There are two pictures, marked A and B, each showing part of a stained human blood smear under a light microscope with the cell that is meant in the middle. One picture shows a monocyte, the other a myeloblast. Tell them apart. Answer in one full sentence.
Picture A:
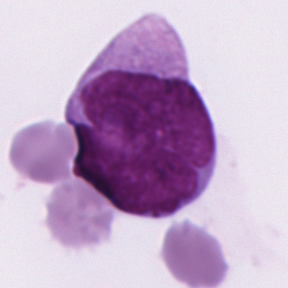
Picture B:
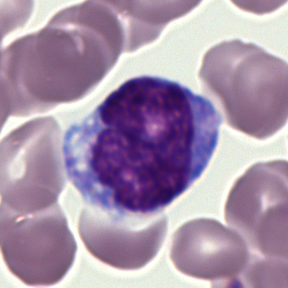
Picture B shows a monocyte, while picture A shows a myeloblast.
